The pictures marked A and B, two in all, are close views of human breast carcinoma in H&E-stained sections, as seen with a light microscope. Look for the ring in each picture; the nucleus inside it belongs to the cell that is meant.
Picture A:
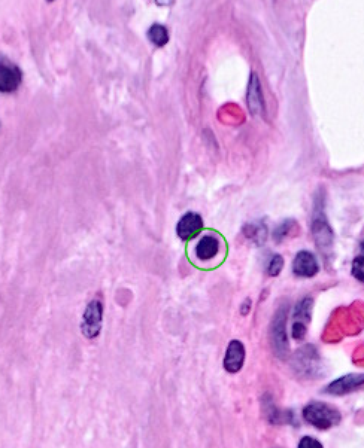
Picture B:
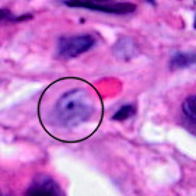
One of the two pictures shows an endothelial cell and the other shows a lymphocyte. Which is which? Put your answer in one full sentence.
Picture A shows a lymphocyte and picture B shows an endothelial cell.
